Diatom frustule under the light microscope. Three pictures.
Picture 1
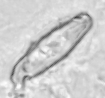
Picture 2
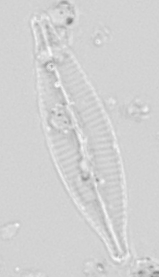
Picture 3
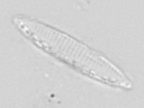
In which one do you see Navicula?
In picture 2.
